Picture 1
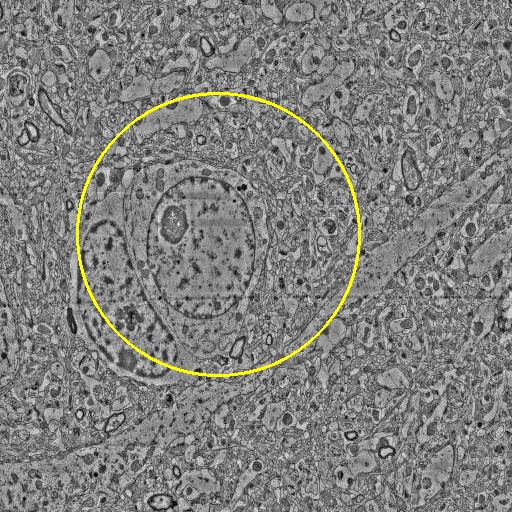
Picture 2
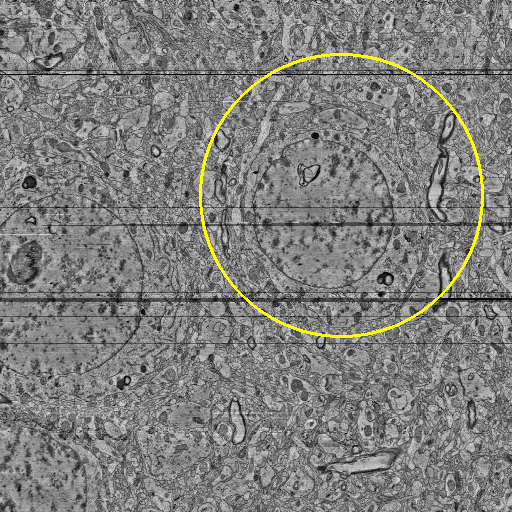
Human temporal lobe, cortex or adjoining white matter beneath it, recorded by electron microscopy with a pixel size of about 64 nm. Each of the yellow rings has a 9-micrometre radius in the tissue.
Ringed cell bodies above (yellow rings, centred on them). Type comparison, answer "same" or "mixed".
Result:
same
